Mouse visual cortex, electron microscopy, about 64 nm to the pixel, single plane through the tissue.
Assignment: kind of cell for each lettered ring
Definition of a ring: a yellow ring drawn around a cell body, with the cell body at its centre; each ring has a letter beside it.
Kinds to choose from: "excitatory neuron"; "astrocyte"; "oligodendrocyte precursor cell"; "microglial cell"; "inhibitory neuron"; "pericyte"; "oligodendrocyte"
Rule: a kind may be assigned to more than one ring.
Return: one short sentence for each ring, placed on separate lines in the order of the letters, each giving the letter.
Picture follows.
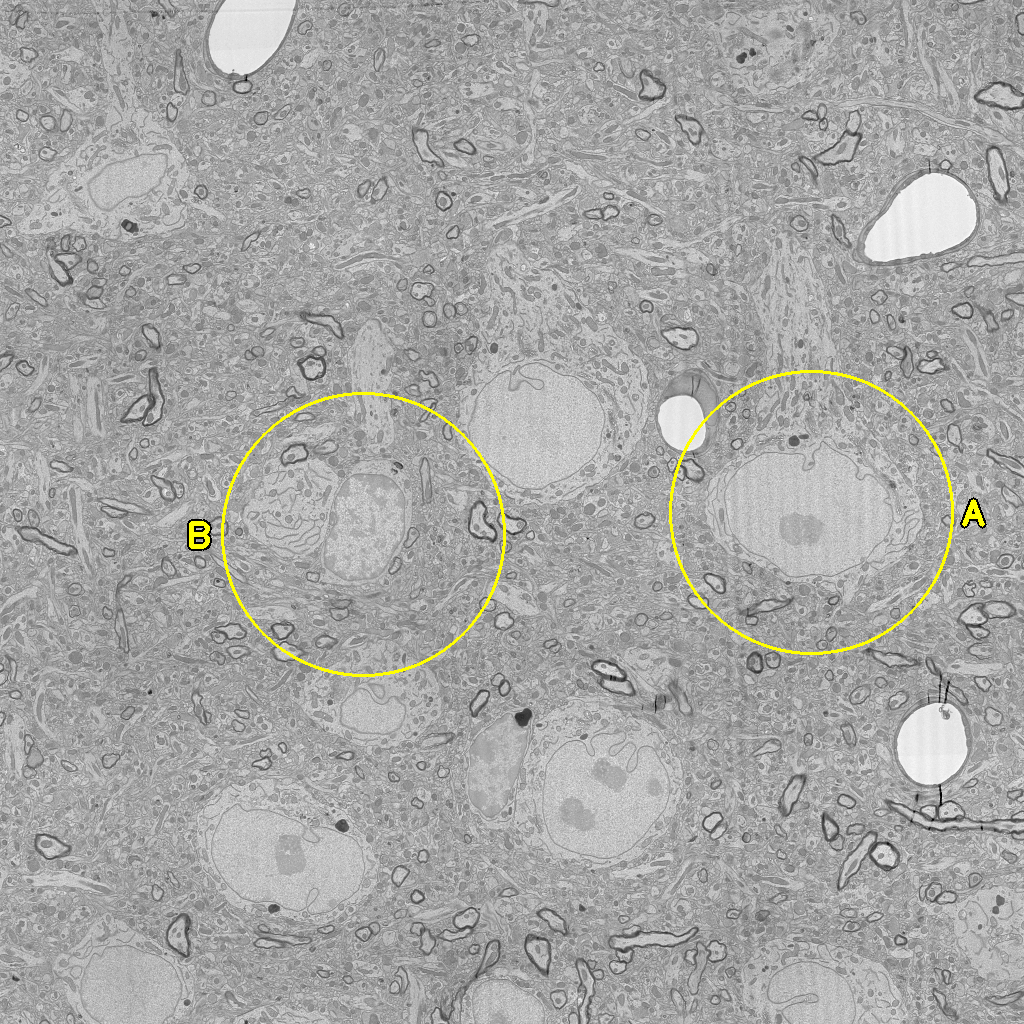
The ring marked A is centred on an excitatory neuron.
The ring marked B is centred on an oligodendrocyte.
